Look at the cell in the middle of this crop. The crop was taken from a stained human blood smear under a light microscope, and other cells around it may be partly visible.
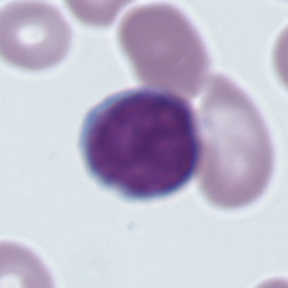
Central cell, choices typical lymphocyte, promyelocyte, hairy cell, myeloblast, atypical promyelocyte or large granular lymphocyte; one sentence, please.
The cell marked by its central position in the crop is a typical lymphocyte.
